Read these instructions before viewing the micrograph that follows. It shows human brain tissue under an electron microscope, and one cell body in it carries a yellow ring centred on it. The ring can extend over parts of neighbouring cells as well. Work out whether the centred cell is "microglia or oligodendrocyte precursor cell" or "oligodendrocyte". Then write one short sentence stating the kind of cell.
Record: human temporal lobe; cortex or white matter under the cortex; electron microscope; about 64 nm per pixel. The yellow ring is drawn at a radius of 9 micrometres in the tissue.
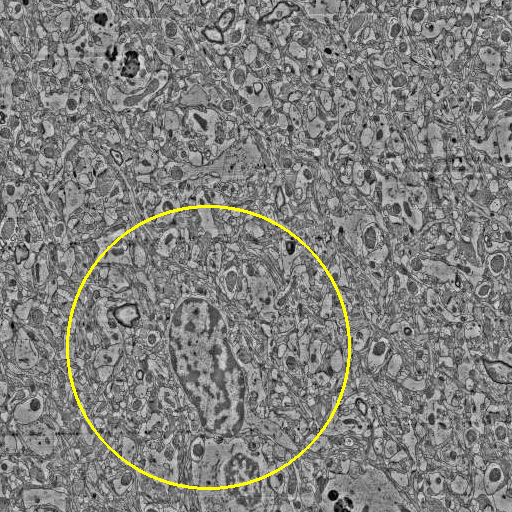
The ringed cell is a microglial cell or oligodendrocyte precursor cell.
